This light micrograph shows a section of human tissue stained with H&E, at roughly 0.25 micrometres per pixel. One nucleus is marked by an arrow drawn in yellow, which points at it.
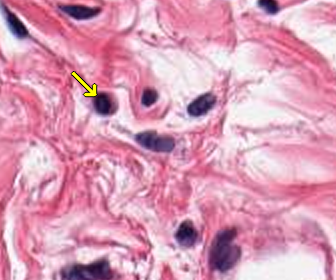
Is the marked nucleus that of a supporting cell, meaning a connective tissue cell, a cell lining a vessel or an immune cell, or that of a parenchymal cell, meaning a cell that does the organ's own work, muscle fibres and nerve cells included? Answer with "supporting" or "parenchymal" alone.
supporting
